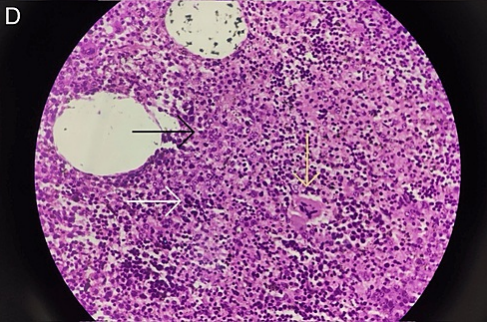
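Hematopoietic tissue at high power, made of densely packed sheets of mixed blood-forming cells with a few clear fat spaces. A very large megakaryocyte with abundant pink cytoplasm and a dark, lobulated nucleus lies among the smaller cells. Groups of small cells with round, very dark nuclei and scant cytoplasm are erythroid precursors, while cells with paler nuclei and more pink cytoplasm are myeloid precursors. The adipocytes appear as empty round spaces interrupting the cellular sheets.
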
